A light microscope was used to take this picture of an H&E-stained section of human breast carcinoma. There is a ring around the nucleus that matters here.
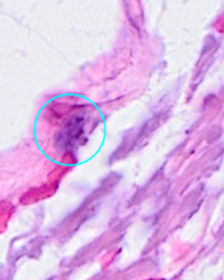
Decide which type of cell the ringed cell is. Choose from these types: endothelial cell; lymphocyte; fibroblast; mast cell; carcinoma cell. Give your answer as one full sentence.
To be brief about it, the ringed cell is an endothelial cell.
